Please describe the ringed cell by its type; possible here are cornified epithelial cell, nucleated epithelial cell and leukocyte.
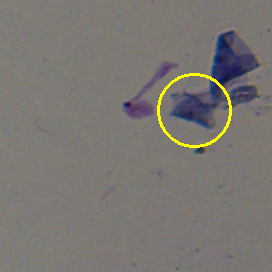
The yellow ring marks a cornified epithelial cell.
